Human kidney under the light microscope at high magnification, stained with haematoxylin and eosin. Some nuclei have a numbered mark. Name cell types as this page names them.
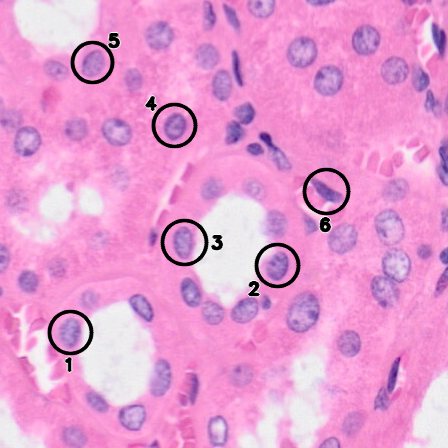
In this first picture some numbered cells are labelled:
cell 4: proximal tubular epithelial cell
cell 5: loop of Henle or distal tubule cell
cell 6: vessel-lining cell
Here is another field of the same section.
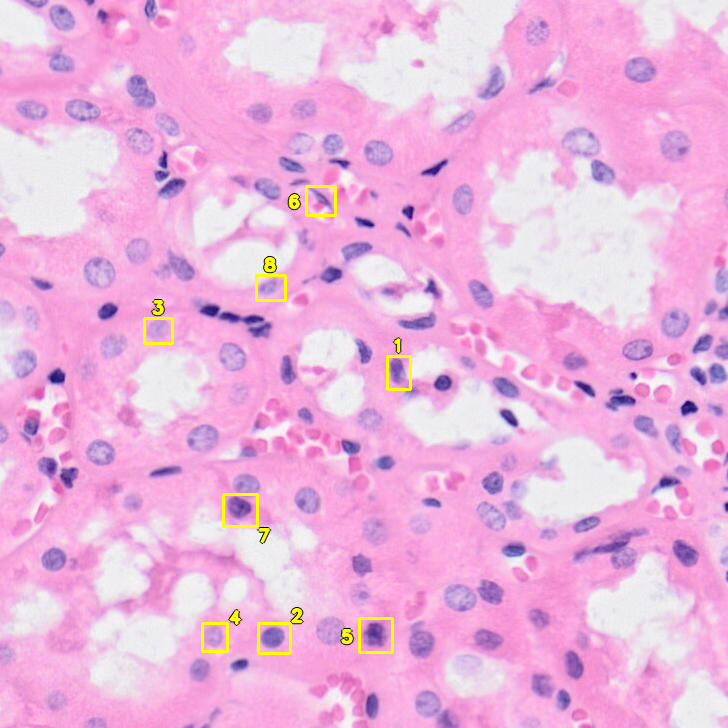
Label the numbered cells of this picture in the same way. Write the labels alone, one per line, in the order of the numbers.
loop of Henle or distal tubule cell
proximal tubular epithelial cell
proximal tubular epithelial cell
proximal tubular epithelial cell
proximal tubular epithelial cell
vessel-lining cell
proximal tubular epithelial cell
loop of Henle or distal tubule cell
